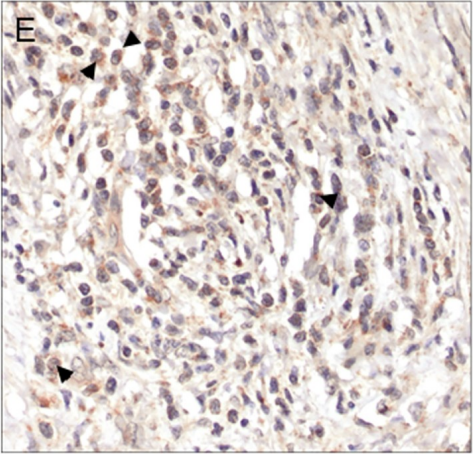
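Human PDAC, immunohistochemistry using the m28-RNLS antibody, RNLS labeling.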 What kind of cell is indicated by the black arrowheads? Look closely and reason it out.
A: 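The arrowheads point to small round cells with a single round nucleus. These cells lie among spindle-shaped stromal cells. Some have brown-stained cytoplasm.
Answer: mononuclear inflammatory cells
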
